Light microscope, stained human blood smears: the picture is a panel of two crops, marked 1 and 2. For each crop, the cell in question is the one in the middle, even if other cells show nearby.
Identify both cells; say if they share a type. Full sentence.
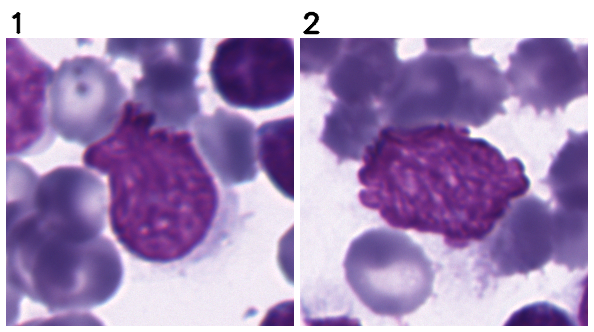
No, a myeloblast is what occupies crop 1, and a smudge cell is what occupies crop 2.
